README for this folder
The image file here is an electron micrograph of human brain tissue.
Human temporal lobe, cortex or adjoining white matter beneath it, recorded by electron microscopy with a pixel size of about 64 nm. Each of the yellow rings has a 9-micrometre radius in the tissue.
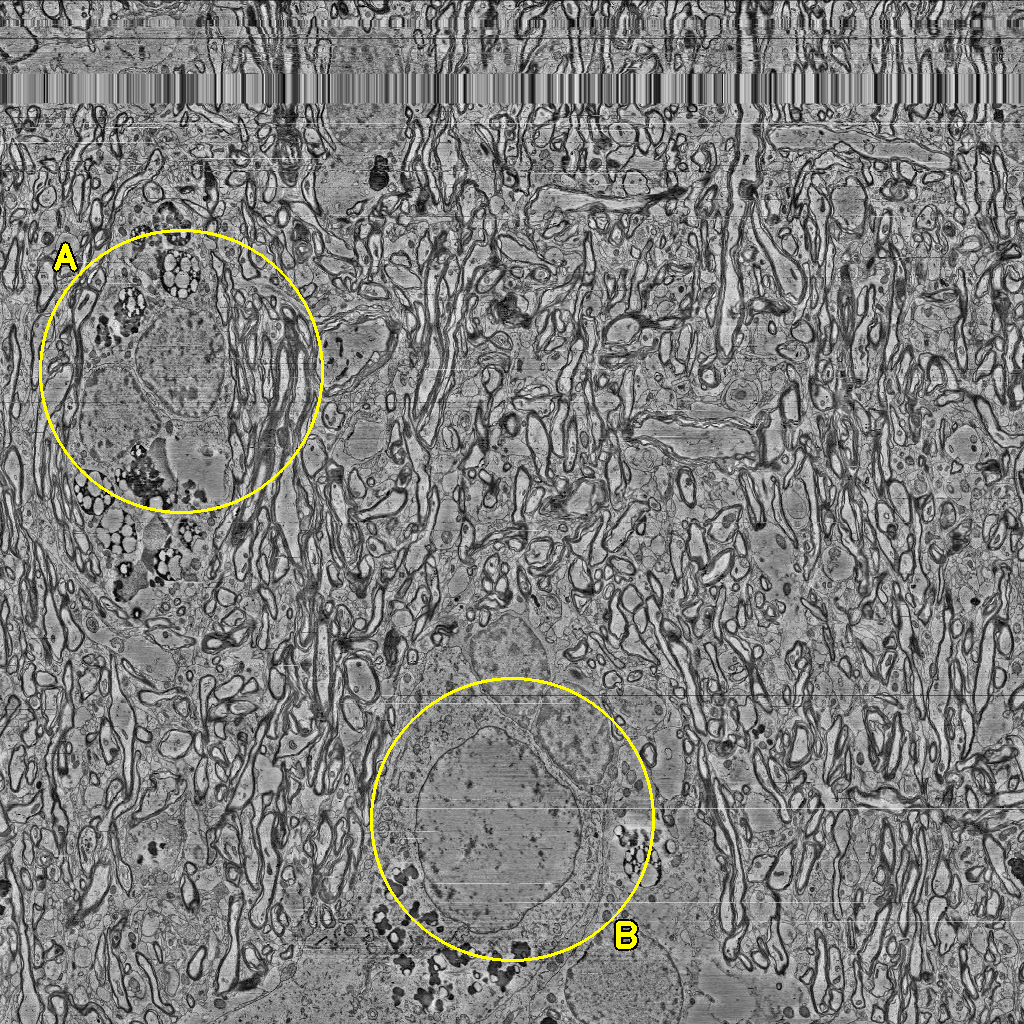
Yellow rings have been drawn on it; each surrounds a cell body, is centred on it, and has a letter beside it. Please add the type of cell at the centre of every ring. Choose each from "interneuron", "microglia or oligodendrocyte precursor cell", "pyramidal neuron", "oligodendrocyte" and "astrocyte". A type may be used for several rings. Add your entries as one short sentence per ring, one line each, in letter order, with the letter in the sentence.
Ring A marks the cell body of an astrocyte.
Ring B marks the cell body of a pyramidal neuron.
